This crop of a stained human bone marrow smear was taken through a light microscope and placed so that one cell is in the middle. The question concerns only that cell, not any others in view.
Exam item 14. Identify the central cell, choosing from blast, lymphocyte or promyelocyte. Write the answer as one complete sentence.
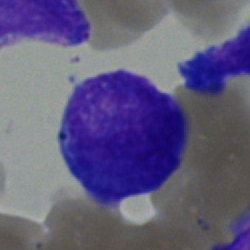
The identification for the central cell is a blast.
